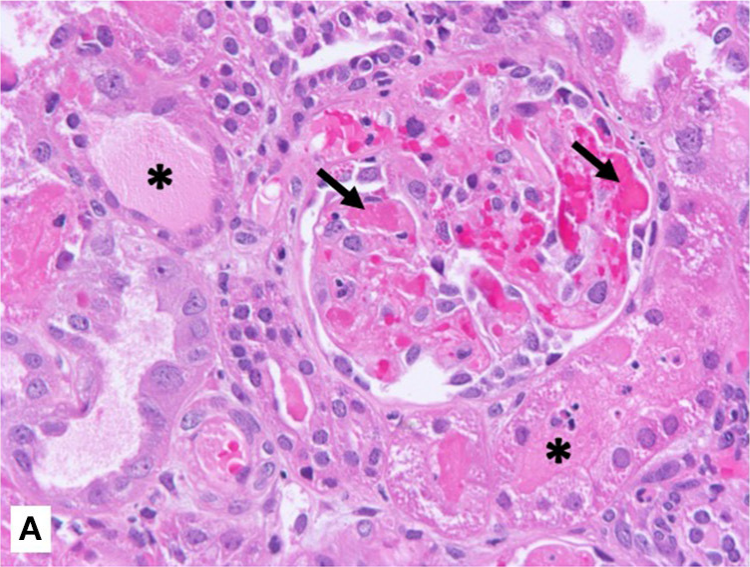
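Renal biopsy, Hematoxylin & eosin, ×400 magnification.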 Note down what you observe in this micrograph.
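Kidney cortex with a glomerulus at the centre surrounded by tubules. The surrounding tubules look injured: their epithelial cells have pale, vacuolated, frothy cytoplasm, some lining cells appear flattened, and several lumens hold homogeneous pink material forming casts. Interstitial cells with small dark round nuclei lie scattered between the tubules.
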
